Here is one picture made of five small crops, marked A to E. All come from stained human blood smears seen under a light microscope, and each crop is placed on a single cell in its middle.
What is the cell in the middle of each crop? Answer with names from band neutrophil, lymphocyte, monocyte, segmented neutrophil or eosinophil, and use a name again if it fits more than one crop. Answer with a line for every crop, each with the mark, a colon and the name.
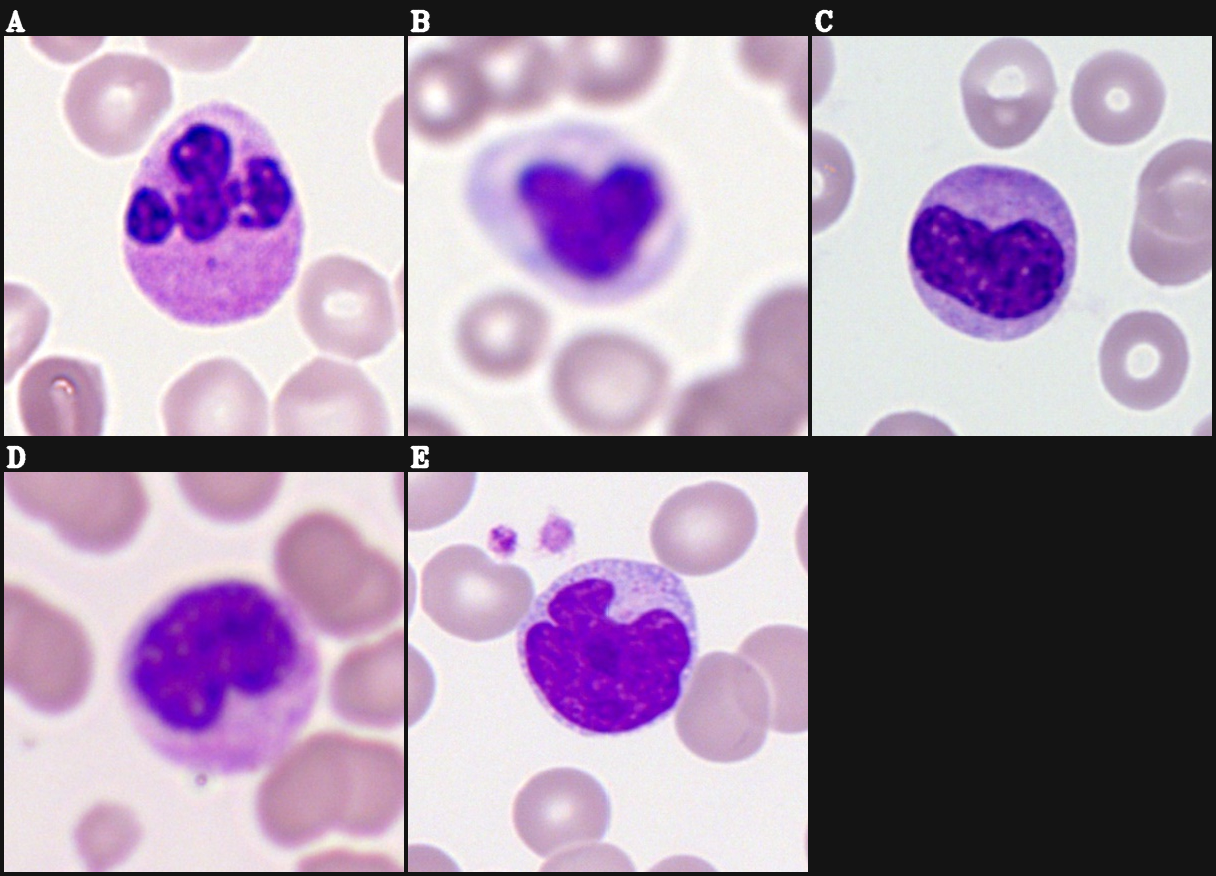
A: segmented neutrophil
B: segmented neutrophil
C: band neutrophil
D: band neutrophil
E: lymphocyte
